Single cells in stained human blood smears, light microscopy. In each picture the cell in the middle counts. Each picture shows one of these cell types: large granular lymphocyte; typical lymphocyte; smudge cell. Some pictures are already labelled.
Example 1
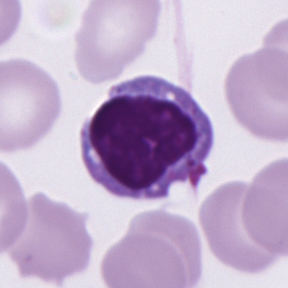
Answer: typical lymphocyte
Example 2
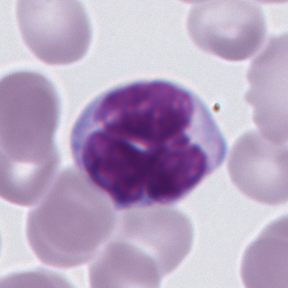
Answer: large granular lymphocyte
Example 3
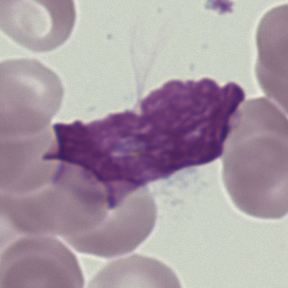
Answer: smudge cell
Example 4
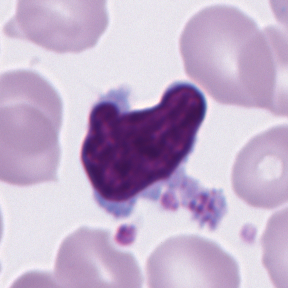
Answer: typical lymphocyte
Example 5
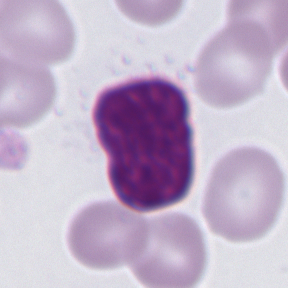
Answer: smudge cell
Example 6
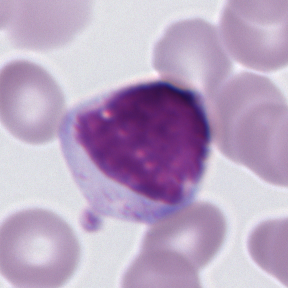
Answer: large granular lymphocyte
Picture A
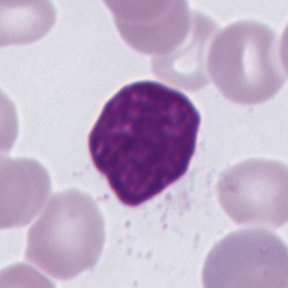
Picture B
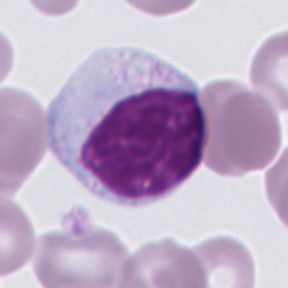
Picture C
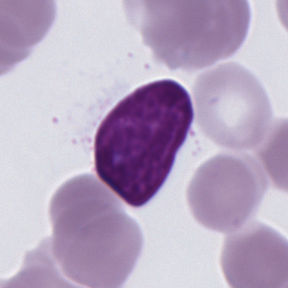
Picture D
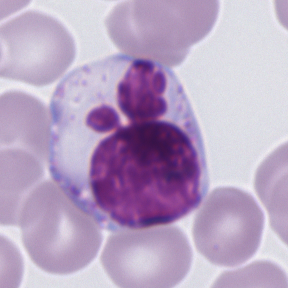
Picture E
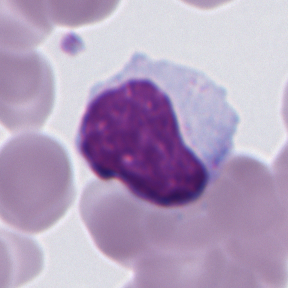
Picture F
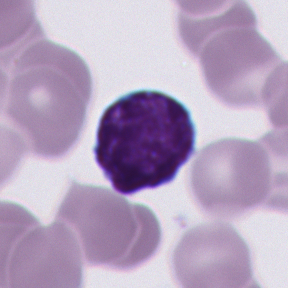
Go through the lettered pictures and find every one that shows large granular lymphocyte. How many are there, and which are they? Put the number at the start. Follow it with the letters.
Count: 3 (B, D, E)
